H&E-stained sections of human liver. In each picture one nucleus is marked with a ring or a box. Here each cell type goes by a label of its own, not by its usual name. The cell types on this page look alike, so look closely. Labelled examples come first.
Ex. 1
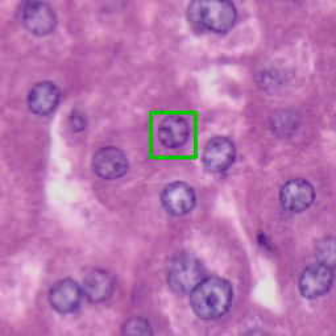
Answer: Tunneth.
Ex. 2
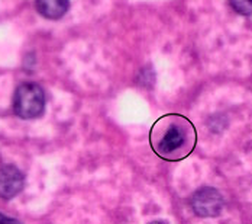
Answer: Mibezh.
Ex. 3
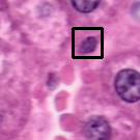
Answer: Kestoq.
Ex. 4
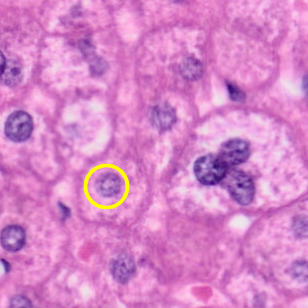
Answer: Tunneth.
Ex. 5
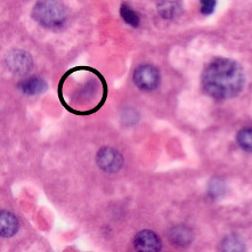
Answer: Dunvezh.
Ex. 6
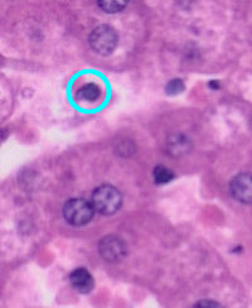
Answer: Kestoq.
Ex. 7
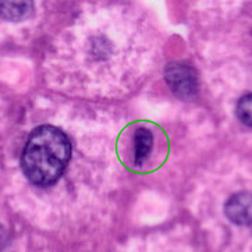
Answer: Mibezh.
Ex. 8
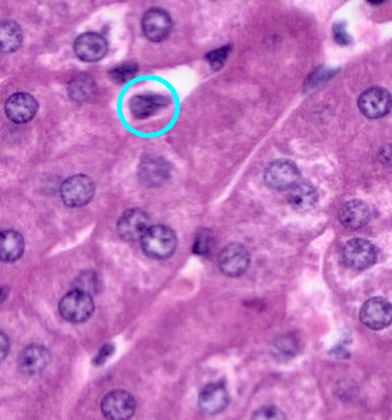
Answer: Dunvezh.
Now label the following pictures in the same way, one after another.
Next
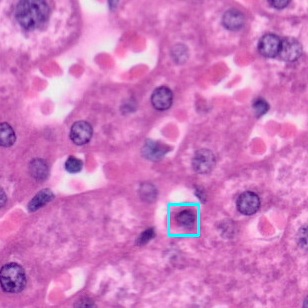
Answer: Dunvezh.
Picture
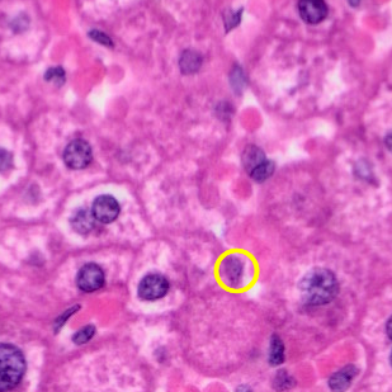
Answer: Dunvezh.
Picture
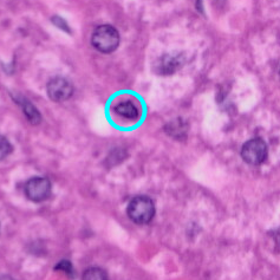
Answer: Dunvezh.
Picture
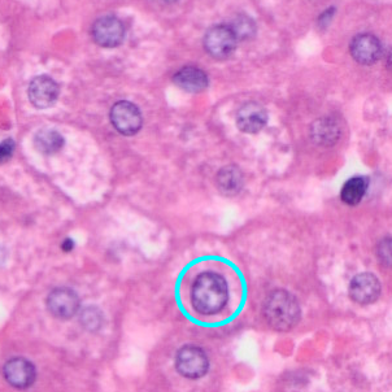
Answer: Tunneth.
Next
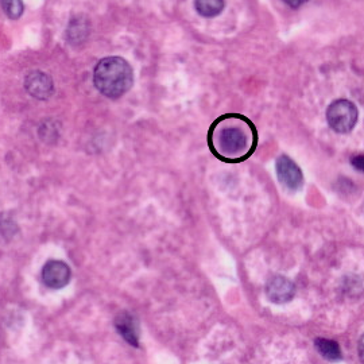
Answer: Mibezh.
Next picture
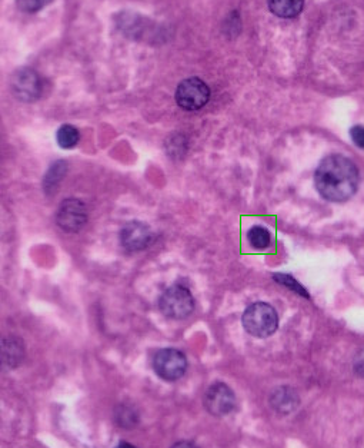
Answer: Kestoq.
